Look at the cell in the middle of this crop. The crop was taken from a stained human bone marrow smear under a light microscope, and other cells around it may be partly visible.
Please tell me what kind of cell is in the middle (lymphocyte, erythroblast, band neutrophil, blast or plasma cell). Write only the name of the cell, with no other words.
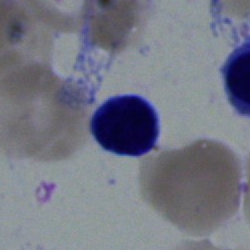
lymphocyte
